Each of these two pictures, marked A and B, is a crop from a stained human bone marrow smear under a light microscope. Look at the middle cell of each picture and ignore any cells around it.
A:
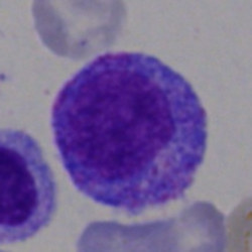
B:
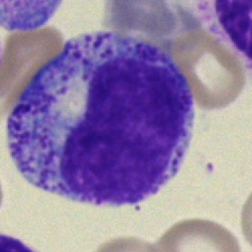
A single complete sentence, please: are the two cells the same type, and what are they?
Yes, both crops, not just one, show promyelocytes.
